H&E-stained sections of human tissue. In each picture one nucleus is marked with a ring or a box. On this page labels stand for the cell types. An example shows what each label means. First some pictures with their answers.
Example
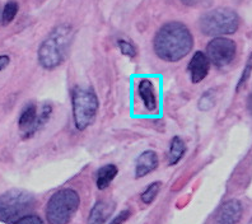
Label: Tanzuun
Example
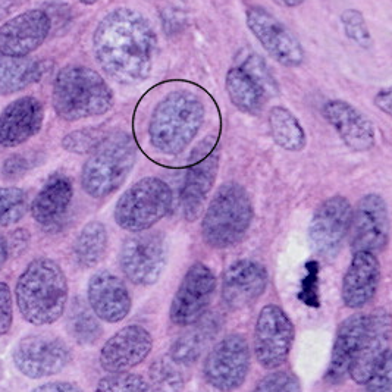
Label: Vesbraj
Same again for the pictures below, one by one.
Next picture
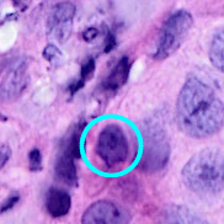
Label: Vesbraj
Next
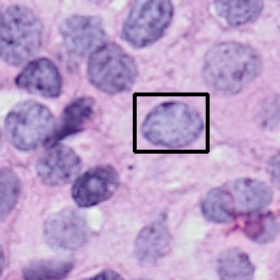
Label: Vesbraj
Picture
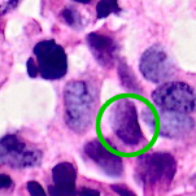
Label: Vesbraj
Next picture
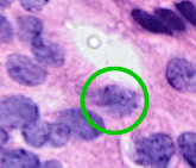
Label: Vesbraj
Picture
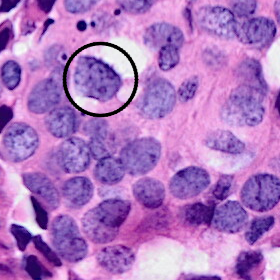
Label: Vesbraj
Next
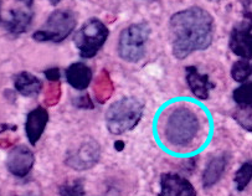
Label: Vesbraj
